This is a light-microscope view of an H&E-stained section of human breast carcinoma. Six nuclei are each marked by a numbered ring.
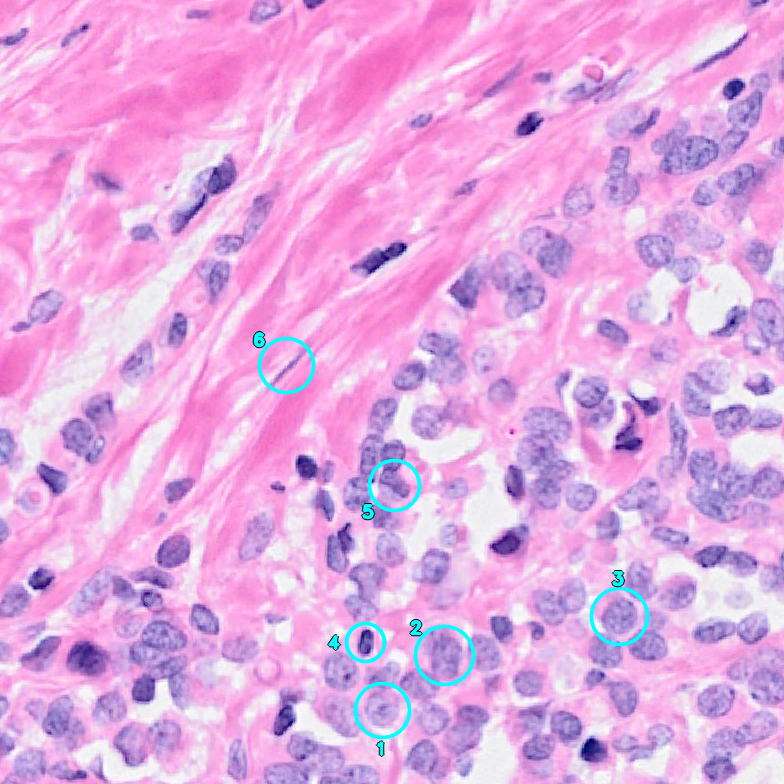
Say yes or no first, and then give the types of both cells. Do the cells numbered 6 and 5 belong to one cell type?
No, that's off: cell 6 is a fibroblast and cell 5 is a carcinoma cell.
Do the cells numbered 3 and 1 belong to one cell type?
Yes, cells 3 and 1 are both recognised as carcinoma cells.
